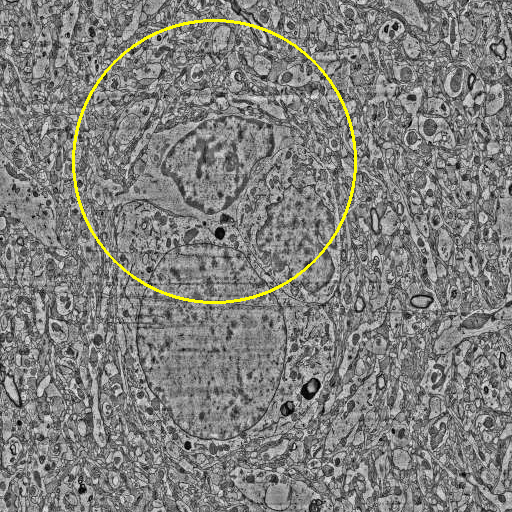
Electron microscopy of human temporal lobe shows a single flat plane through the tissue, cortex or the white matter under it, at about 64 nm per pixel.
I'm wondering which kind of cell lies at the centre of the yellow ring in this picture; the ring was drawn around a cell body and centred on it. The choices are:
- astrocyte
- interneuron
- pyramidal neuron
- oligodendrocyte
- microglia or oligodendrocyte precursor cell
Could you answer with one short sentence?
At the centre of the ring lies a microglial cell or oligodendrocyte precursor cell.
